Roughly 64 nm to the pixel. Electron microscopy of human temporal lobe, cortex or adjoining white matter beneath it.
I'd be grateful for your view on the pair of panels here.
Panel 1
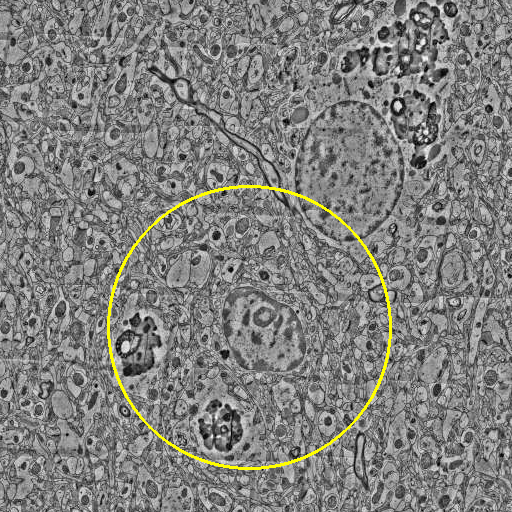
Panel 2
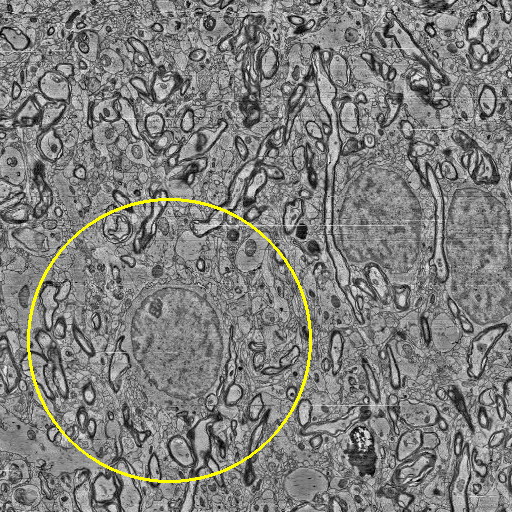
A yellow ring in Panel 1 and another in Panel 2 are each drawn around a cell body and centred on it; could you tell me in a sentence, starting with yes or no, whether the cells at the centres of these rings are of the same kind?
No, they are two kinds of cell.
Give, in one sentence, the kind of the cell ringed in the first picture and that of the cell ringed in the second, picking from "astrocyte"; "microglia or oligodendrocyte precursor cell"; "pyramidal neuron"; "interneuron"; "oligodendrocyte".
For the first picture it is a microglial cell or oligodendrocyte precursor cell; for the second, an oligodendrocyte.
